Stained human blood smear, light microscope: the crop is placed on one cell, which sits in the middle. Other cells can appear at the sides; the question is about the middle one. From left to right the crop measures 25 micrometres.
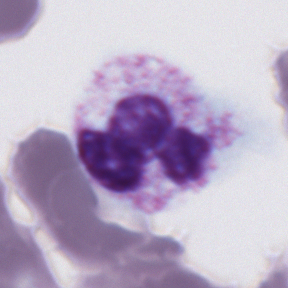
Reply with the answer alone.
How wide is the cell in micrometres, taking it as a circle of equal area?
13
